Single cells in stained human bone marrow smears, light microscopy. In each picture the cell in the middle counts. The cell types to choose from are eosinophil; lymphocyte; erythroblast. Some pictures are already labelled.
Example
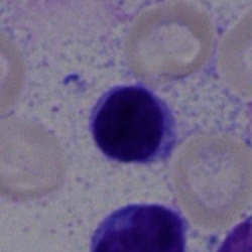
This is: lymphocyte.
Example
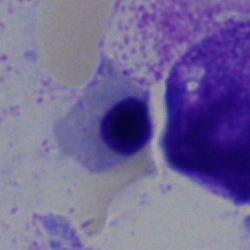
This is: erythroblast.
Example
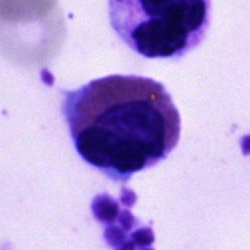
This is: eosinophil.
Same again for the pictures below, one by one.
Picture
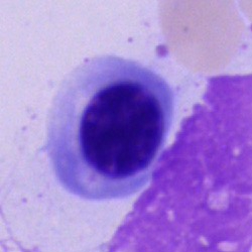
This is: erythroblast.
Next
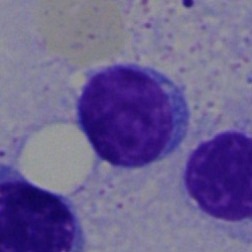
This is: lymphocyte.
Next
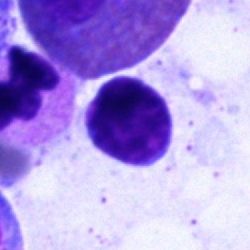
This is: lymphocyte.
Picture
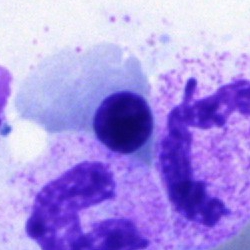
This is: erythroblast.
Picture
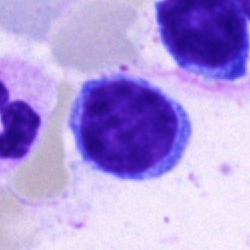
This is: lymphocyte.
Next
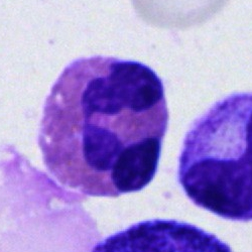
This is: eosinophil.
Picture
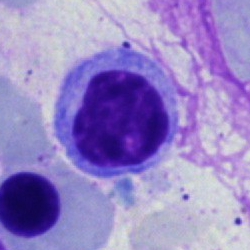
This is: lymphocyte.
